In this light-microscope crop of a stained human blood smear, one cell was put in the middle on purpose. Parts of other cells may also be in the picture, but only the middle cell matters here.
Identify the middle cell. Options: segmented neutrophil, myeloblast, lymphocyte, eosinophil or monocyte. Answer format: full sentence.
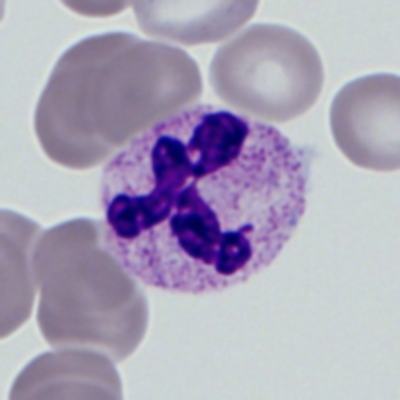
What sits at the centre of this crop is a segmented neutrophil.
